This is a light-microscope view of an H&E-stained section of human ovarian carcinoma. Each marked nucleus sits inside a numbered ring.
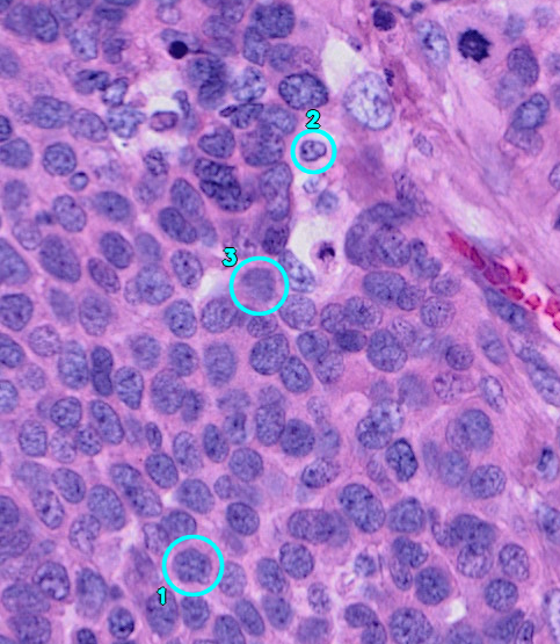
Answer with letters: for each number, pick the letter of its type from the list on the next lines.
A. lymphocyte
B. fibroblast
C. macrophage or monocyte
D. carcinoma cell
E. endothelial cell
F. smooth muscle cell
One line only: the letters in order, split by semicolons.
D; C; D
